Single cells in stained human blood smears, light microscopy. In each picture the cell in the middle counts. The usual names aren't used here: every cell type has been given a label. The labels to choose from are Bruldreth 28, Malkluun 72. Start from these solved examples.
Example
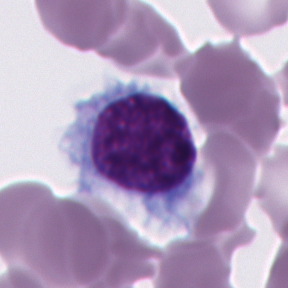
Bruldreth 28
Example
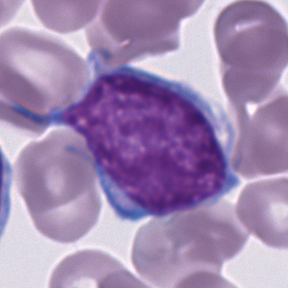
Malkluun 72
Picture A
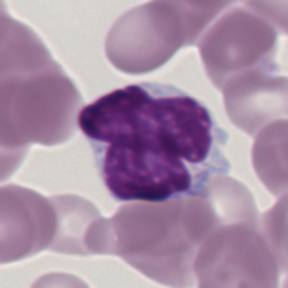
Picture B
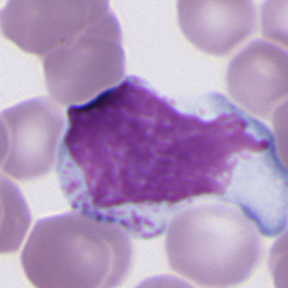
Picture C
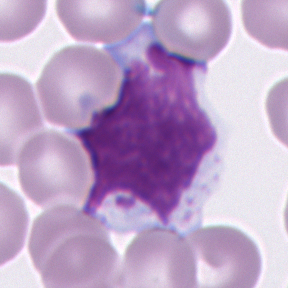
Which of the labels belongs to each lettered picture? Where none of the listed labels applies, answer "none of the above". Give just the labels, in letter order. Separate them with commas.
none of the above, none of the above, none of the above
